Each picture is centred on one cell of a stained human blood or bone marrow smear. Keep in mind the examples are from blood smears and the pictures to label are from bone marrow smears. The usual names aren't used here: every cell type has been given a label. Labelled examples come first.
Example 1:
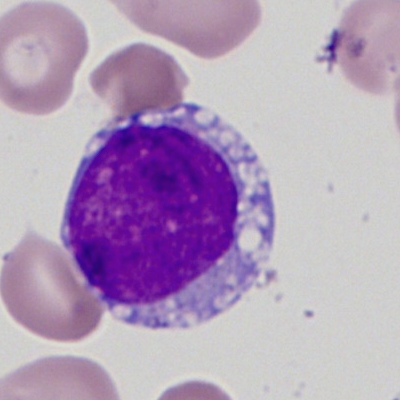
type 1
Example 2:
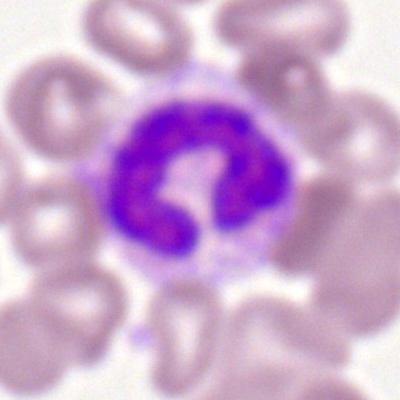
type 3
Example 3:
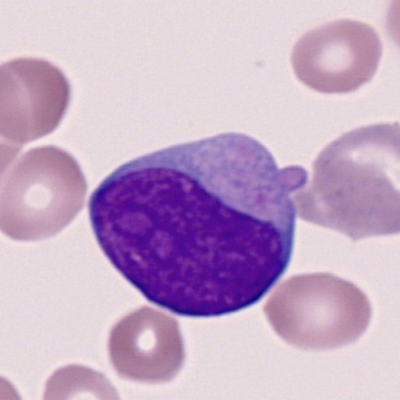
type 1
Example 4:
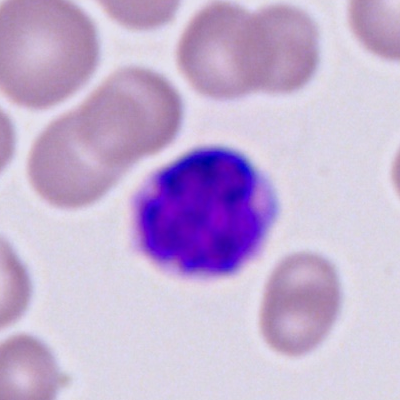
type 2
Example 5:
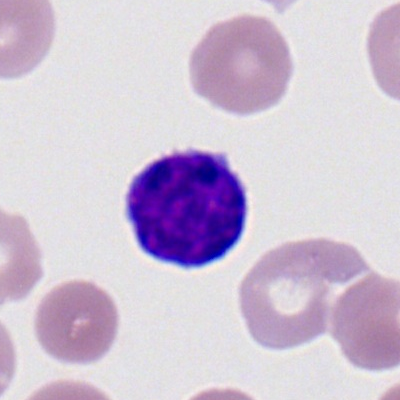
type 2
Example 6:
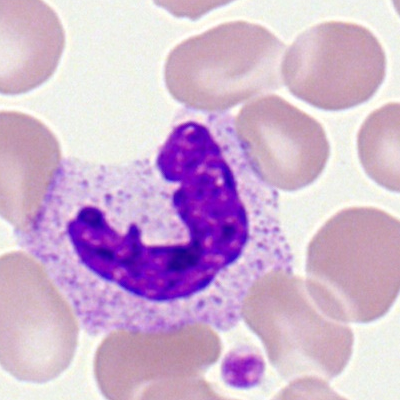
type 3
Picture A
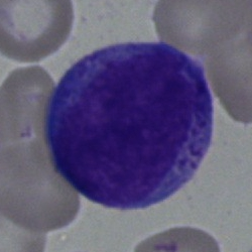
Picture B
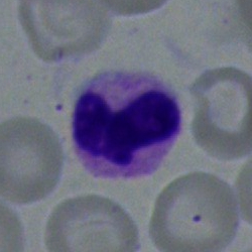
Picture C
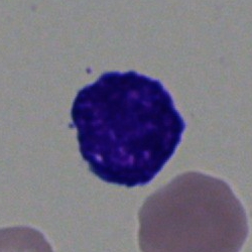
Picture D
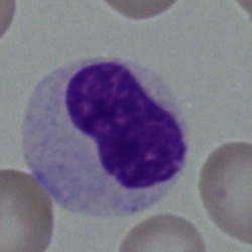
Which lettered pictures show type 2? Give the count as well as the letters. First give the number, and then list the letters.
0, none of them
